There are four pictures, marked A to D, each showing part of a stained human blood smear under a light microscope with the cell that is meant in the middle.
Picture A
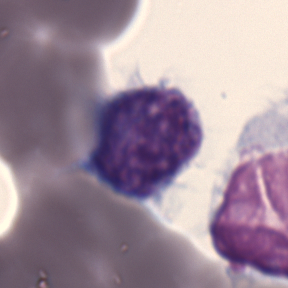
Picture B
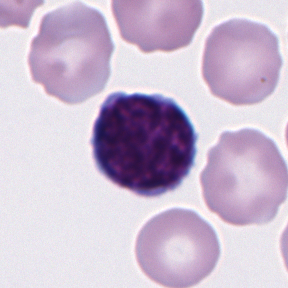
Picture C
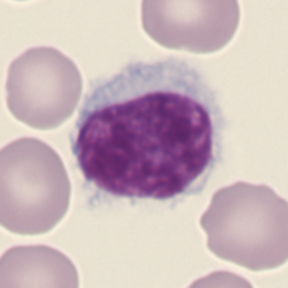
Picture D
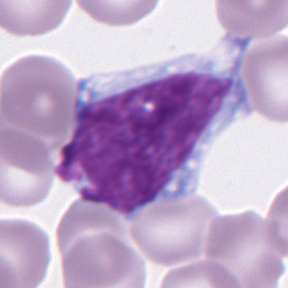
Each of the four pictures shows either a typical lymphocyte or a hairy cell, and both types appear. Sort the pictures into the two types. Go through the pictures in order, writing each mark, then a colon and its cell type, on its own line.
A: hairy cell
B: typical lymphocyte
C: hairy cell
D: typical lymphocyte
